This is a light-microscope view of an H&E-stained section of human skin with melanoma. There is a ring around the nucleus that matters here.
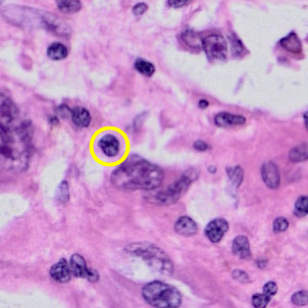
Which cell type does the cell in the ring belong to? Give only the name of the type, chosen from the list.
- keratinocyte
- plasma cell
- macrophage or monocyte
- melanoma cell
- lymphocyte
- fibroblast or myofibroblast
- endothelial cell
lymphocyte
